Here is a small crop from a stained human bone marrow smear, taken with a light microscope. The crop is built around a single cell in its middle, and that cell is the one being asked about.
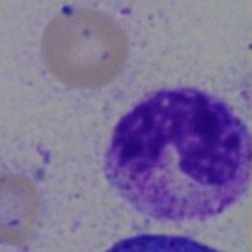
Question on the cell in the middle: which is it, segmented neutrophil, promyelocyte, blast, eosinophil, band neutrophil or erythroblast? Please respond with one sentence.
The central element of this crop is a cell, namely a band neutrophil.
